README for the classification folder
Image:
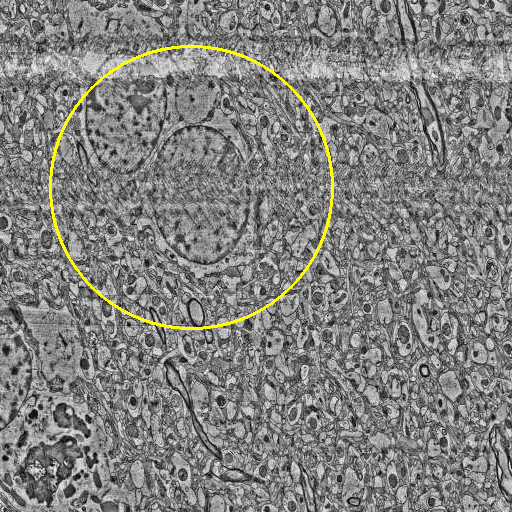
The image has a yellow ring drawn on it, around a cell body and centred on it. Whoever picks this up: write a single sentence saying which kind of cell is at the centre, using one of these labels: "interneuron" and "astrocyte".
This cell body is that of an astrocyte.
